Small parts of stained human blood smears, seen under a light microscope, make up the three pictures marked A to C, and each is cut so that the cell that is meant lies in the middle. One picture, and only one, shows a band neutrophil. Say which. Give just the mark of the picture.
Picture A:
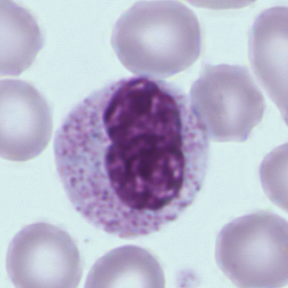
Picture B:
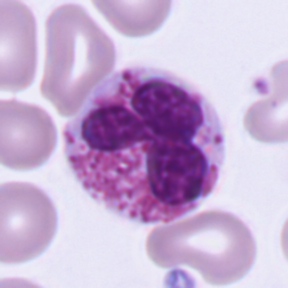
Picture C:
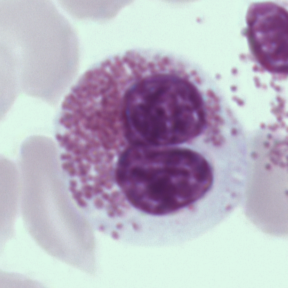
A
